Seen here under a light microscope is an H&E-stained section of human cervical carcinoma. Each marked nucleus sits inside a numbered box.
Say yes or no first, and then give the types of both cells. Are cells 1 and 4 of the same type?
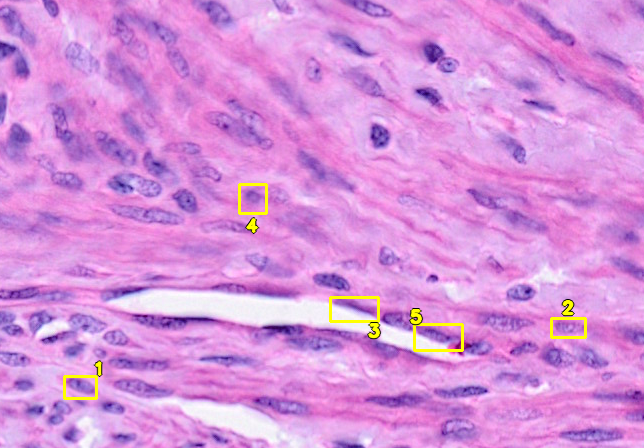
Yes, cell 1 is among the smooth muscle cells, and cell 4 is as well.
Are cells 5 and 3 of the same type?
Yes, in the case of cells 5 and 3, both are endothelial cells.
